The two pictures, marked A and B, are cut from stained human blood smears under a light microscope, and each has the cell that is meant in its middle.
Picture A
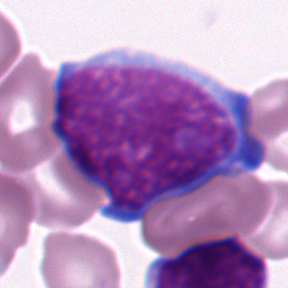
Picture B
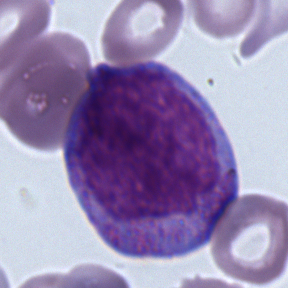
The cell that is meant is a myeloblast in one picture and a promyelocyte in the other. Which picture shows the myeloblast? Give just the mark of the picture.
A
